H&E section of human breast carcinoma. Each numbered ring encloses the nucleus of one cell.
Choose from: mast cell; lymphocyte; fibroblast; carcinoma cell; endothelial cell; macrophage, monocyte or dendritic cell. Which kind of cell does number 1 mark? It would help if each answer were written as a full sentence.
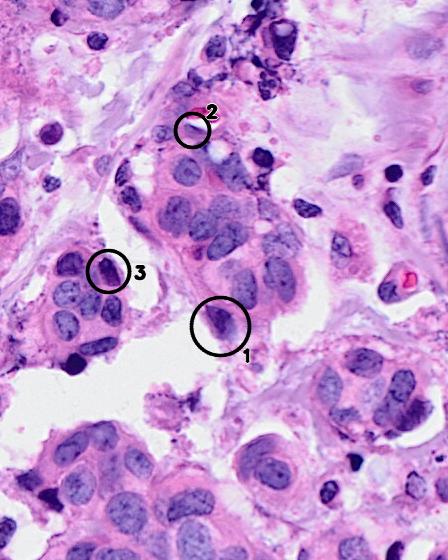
Heads up, the cell numbered 1 is a carcinoma cell.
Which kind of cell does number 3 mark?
It is as a carcinoma cell that the cell numbered 3 is identified.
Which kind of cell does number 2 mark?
The correct answer for cell 2 is an endothelial cell.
